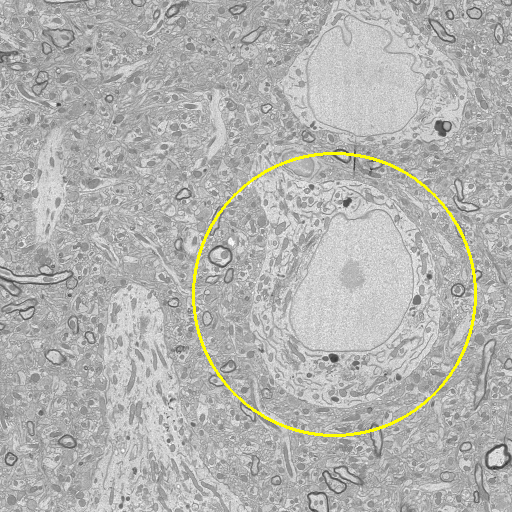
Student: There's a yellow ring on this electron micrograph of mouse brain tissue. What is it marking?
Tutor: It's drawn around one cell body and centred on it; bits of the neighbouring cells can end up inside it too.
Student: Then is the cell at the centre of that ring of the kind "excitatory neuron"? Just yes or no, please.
no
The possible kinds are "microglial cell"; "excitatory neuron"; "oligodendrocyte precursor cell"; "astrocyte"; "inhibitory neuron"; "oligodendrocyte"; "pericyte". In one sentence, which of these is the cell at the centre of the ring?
The cell in the ring is an inhibitory neuron instead.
